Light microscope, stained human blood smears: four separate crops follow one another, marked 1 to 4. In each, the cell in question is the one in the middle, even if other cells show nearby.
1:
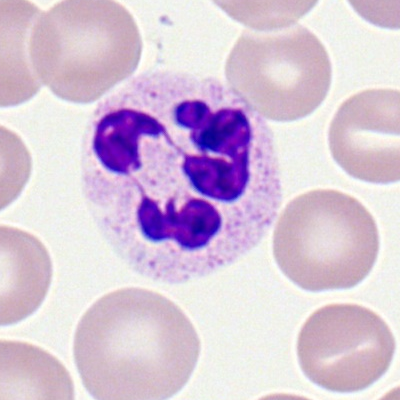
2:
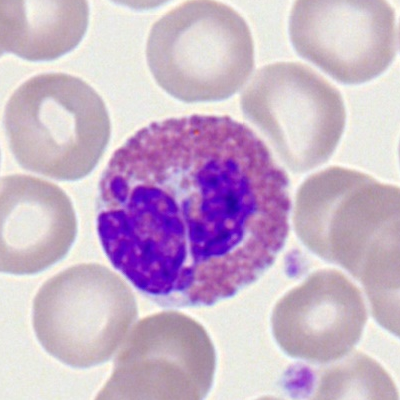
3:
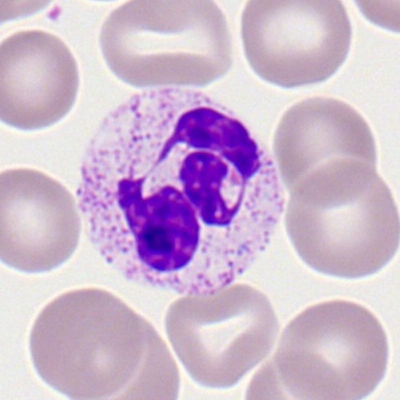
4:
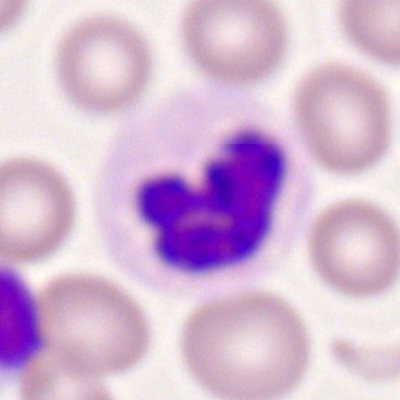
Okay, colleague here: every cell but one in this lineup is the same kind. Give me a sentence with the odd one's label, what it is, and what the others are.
Unlike the other crops, which all show segmented neutrophils, crop 2 is an eosinophil.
